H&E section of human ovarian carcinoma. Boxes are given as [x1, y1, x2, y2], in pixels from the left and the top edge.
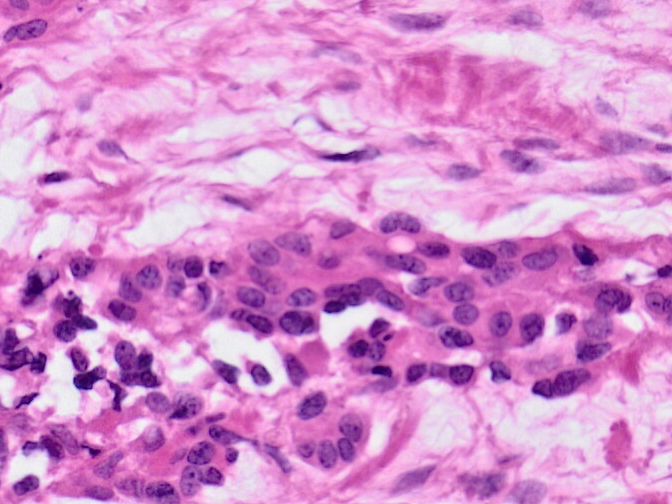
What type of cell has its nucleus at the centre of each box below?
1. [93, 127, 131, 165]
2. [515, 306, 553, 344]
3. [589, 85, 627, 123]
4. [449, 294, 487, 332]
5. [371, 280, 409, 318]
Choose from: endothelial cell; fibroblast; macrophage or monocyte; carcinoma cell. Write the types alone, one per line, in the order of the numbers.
fibroblast
carcinoma cell
fibroblast
carcinoma cell
carcinoma cell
